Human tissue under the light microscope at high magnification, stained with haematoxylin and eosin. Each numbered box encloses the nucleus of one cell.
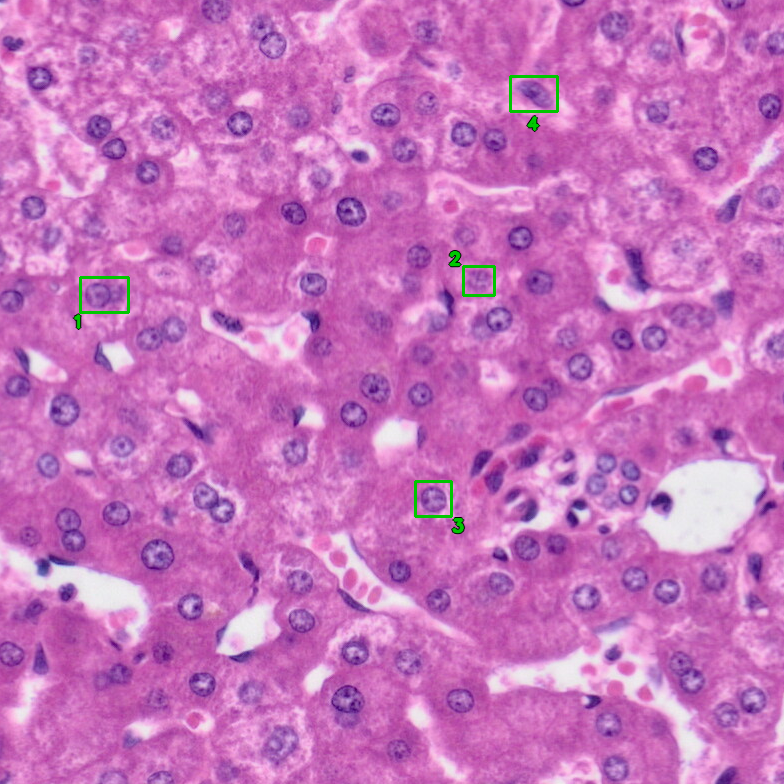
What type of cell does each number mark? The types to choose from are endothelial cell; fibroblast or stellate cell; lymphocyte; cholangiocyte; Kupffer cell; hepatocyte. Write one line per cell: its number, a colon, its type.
1: hepatocyte
2: hepatocyte
3: hepatocyte
4: Kupffer cell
